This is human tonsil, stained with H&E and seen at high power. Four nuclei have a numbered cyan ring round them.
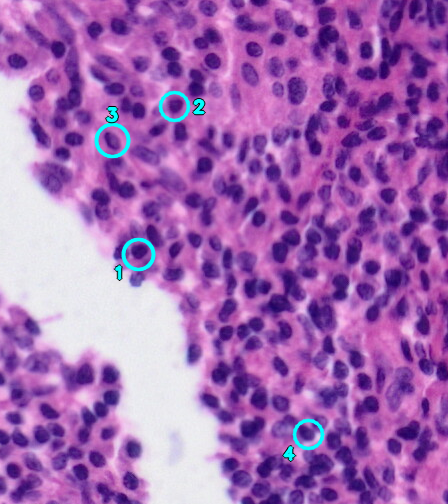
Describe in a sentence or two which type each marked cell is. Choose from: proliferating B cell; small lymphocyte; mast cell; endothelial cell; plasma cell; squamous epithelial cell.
Cells 1, 2 and 3 are plasma cells. Cell 4 is a small lymphocyte.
